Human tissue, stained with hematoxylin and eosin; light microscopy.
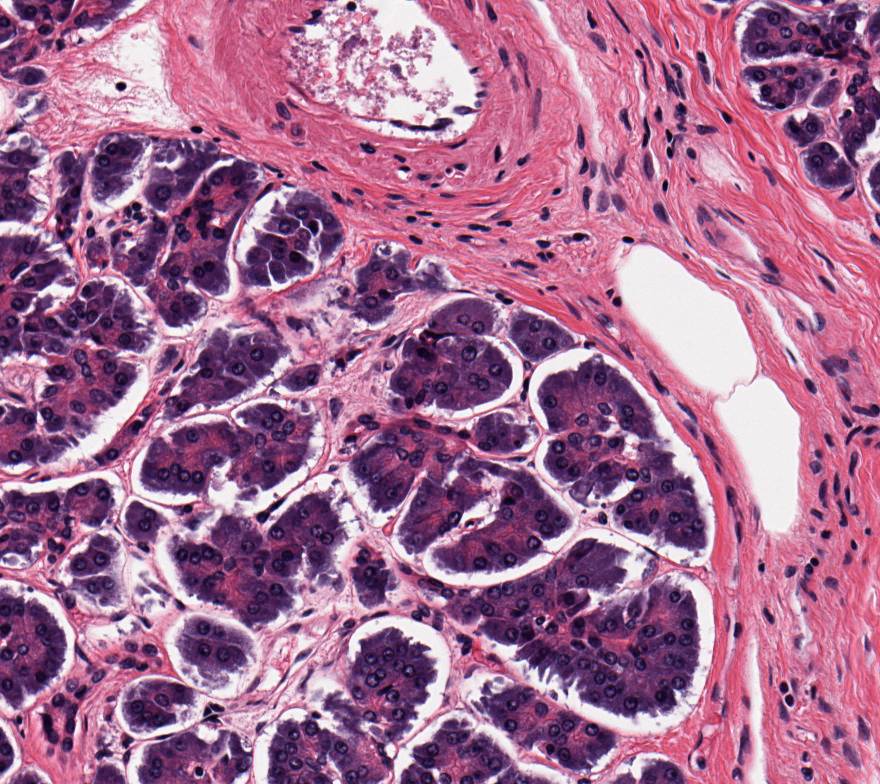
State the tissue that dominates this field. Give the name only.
exocrine pancreas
